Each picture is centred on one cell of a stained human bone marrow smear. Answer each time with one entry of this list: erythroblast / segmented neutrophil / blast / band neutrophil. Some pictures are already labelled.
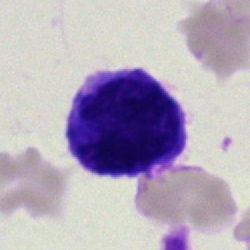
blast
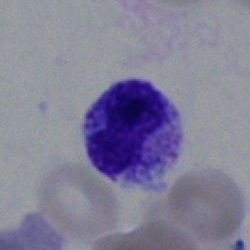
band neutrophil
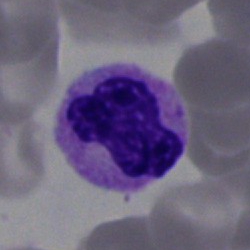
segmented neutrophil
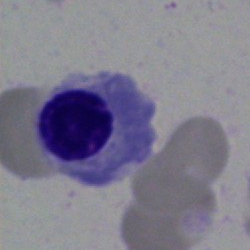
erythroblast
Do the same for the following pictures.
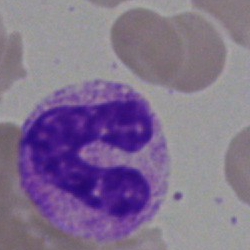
band neutrophil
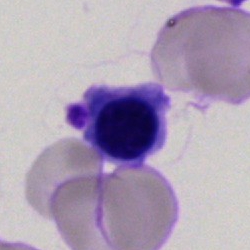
erythroblast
